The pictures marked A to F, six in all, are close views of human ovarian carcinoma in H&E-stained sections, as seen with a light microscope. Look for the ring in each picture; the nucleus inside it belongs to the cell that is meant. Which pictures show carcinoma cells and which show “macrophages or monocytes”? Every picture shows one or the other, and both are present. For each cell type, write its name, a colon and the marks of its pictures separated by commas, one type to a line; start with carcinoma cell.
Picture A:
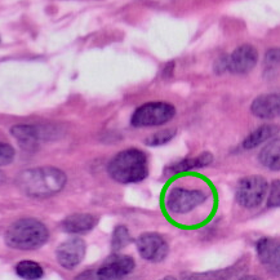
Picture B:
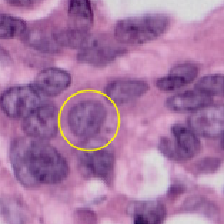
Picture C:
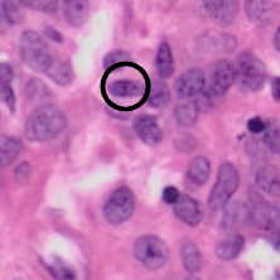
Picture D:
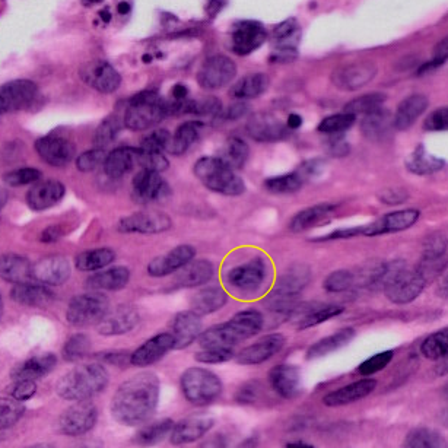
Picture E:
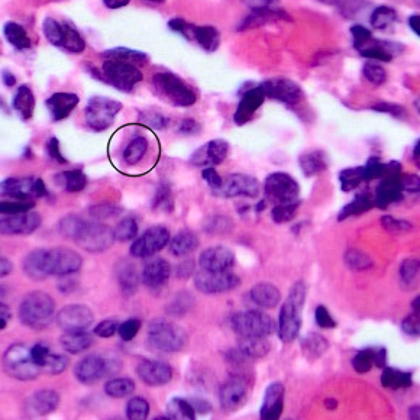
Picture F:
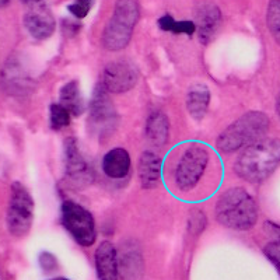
carcinoma cell: B, F
macrophage or monocyte: A, C, D, E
